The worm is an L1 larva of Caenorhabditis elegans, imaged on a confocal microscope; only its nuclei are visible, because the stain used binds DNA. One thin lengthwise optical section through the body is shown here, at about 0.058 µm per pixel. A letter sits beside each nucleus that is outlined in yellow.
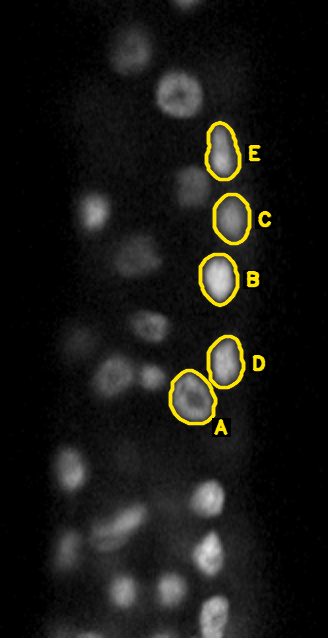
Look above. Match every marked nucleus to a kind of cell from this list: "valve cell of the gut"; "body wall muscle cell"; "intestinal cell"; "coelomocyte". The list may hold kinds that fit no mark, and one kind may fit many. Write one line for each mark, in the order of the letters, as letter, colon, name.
A: intestinal cell
B: coelomocyte
C: coelomocyte
D: body wall muscle cell
E: body wall muscle cell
